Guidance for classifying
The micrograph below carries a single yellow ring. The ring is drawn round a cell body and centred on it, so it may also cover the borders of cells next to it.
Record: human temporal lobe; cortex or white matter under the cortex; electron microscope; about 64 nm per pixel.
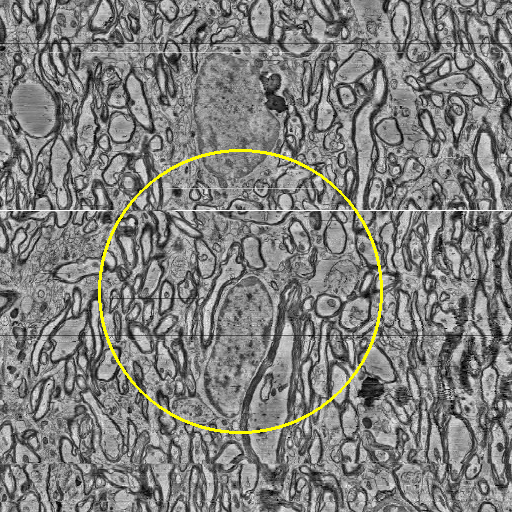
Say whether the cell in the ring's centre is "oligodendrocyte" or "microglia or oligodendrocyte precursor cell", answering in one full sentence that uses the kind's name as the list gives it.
Within the yellow ring, a microglial cell or oligodendrocyte precursor cell is the cell whose body sits at the centre.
